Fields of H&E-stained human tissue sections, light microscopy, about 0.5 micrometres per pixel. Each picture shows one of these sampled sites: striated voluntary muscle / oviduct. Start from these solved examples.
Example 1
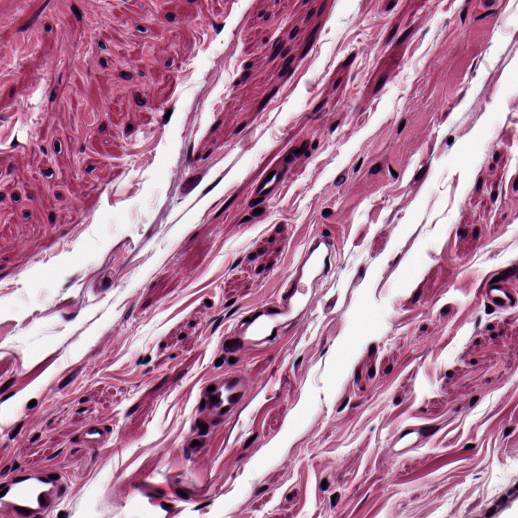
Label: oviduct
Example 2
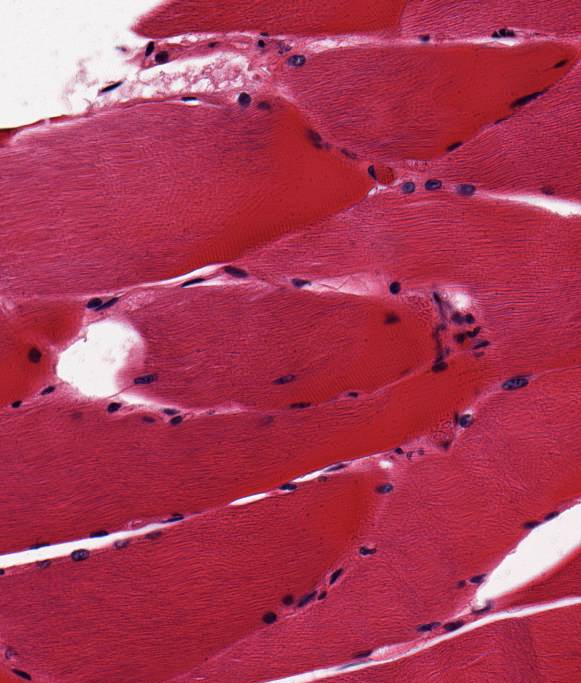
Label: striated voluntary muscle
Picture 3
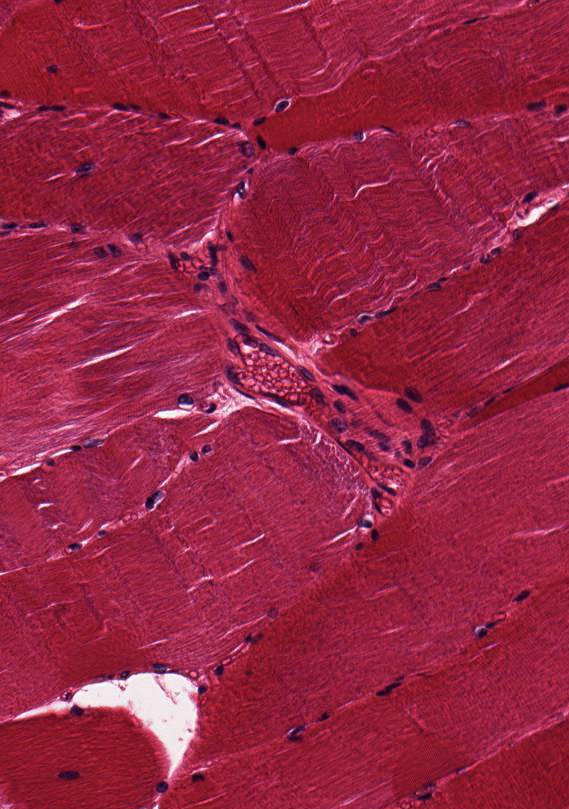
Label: striated voluntary muscle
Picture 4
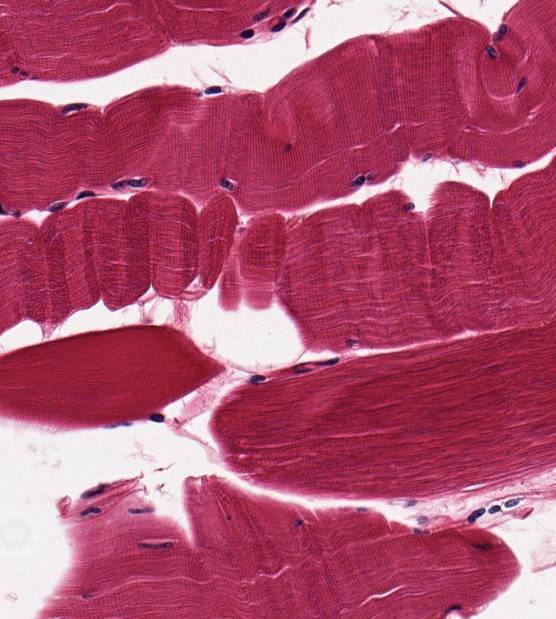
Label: striated voluntary muscle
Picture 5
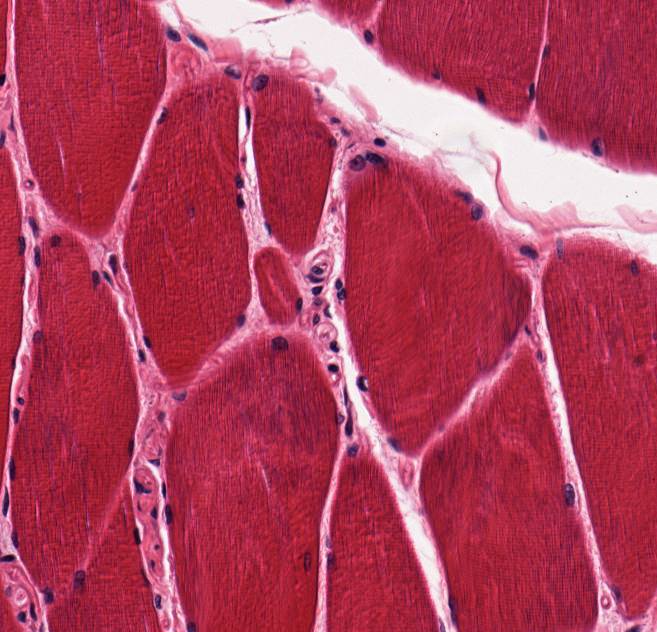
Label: striated voluntary muscle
